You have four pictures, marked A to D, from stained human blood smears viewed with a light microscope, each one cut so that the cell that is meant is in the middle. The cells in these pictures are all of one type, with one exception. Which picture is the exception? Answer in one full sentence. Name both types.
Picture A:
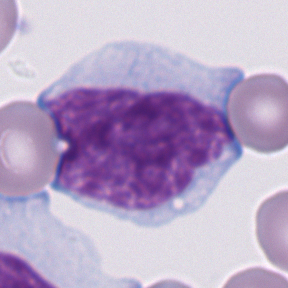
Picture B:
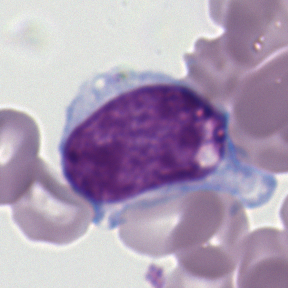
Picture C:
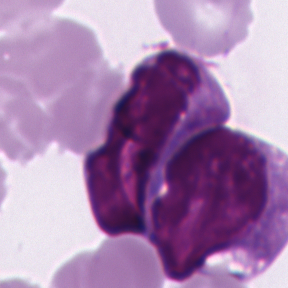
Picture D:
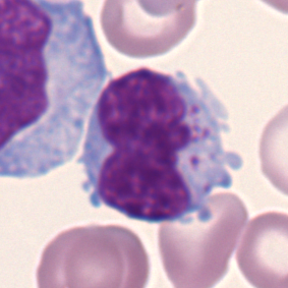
The different one is picture D; it shows a large granular lymphocyte, whereas all the others show myeloblasts.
